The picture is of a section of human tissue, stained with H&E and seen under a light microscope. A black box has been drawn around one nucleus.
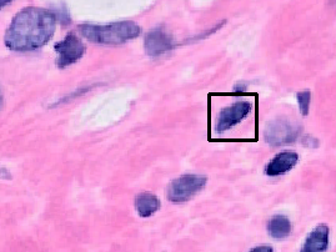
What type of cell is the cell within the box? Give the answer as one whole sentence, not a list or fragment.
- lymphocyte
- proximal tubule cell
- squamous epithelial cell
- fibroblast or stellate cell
As far as its identity is concerned, the cell within the box is a lymphocyte.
